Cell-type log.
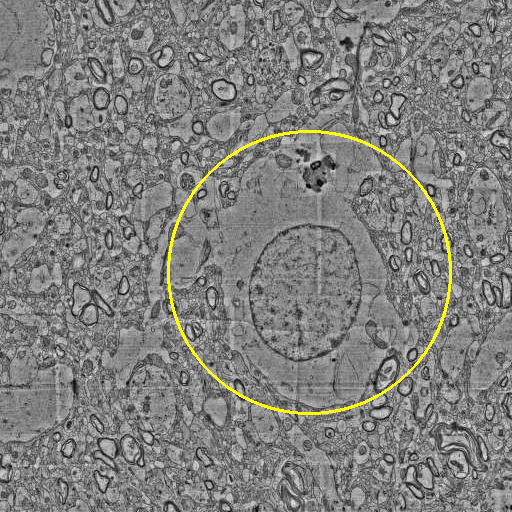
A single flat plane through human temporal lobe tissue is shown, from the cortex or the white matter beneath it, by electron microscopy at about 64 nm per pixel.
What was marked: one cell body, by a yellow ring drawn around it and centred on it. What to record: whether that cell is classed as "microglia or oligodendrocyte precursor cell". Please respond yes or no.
No, the cell belongs to another class.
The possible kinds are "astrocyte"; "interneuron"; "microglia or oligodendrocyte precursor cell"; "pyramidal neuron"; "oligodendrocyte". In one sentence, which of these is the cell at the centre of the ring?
The cell marked by the ring is an astrocyte.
